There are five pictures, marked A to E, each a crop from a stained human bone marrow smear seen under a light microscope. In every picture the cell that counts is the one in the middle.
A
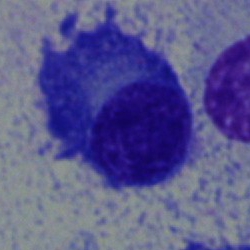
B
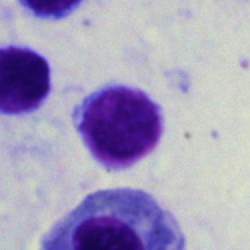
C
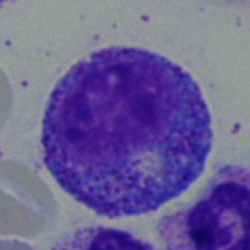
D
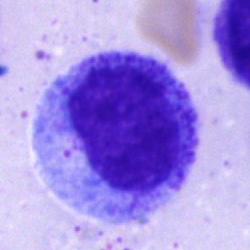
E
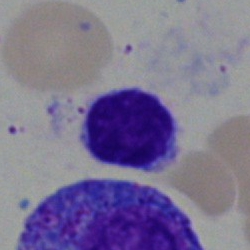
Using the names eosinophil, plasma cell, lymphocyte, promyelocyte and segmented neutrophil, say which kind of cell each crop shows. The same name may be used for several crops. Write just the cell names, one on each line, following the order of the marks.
plasma cell
lymphocyte
promyelocyte
promyelocyte
lymphocyte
